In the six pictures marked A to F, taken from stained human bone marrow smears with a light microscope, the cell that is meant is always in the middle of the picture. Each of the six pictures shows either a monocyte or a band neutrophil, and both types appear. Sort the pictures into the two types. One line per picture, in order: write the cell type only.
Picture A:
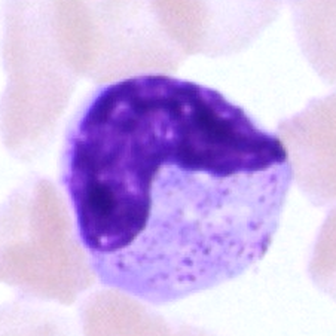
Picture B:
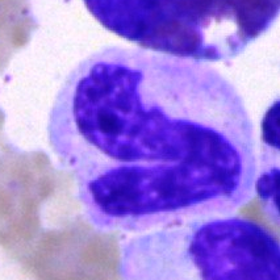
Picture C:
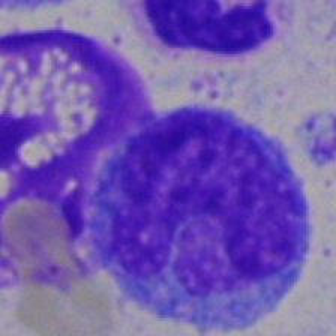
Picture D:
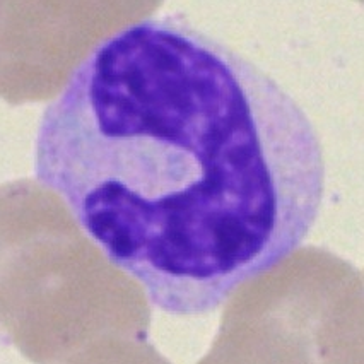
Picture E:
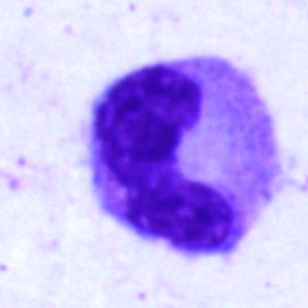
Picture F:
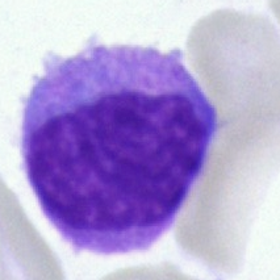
band neutrophil
band neutrophil
monocyte
band neutrophil
band neutrophil
monocyte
